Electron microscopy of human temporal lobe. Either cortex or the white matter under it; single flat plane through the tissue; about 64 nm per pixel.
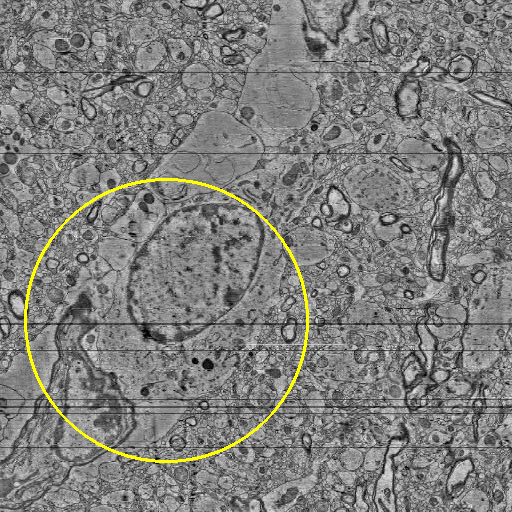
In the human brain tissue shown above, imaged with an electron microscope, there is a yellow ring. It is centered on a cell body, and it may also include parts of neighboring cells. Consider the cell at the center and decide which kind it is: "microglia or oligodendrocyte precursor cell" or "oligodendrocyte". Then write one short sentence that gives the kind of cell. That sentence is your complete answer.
This centered cell body is that of a microglial cell or oligodendrocyte precursor cell.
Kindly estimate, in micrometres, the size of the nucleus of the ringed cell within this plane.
Approximately 9 x 7 micrometres in this plane.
